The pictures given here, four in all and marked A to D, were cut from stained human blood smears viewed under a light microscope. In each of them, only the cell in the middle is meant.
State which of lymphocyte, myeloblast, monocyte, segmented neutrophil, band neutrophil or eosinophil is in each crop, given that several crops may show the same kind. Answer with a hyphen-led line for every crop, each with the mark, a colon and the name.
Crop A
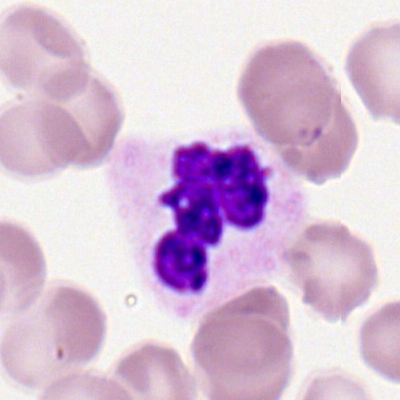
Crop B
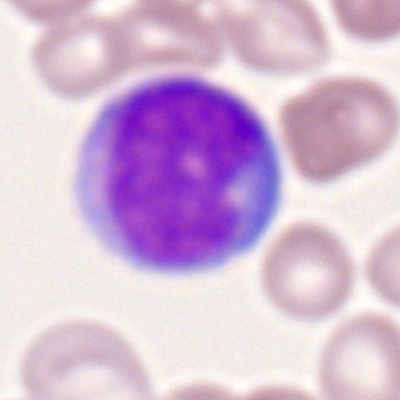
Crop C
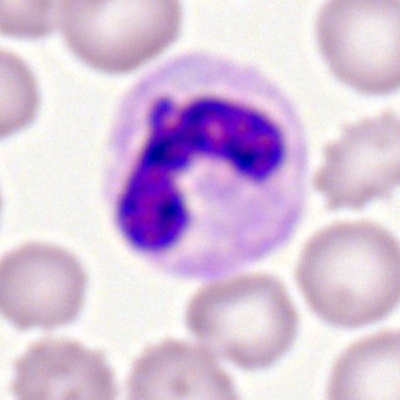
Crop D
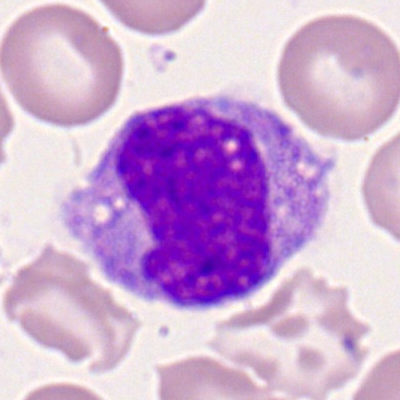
- A: segmented neutrophil
- B: myeloblast
- C: band neutrophil
- D: monocyte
